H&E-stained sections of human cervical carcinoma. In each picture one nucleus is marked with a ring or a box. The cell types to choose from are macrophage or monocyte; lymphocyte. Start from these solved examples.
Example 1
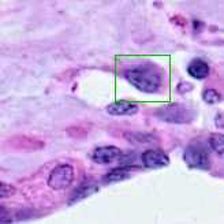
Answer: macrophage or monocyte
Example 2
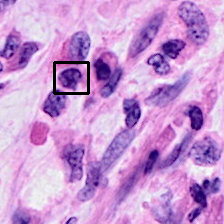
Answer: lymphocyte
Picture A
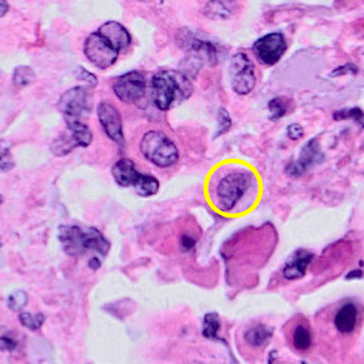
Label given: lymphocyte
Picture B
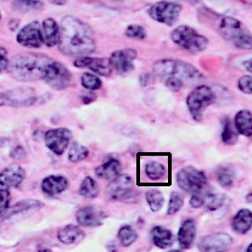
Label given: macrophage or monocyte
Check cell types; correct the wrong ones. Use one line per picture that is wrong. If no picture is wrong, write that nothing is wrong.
Wrong: A (lymphocyte); correct: macrophage or monocyte
Wrong: B (macrophage or monocyte); correct: lymphocyte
